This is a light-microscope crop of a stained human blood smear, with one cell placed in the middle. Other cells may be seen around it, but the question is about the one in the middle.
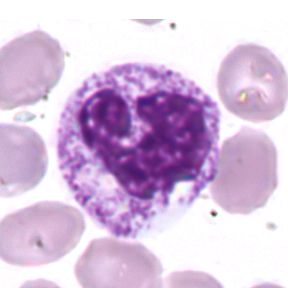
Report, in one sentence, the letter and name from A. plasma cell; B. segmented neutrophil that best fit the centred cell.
What option B states is correct, the central cell being a segmented neutrophil.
